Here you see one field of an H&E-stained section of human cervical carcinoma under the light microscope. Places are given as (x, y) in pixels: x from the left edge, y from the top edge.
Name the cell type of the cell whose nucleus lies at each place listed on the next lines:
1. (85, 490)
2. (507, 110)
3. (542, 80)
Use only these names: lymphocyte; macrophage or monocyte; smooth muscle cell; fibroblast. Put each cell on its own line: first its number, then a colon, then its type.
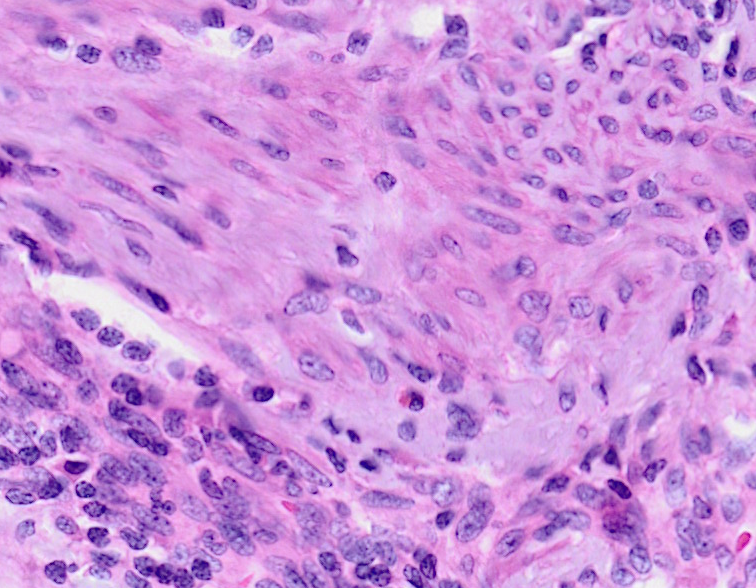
1: lymphocyte
2: smooth muscle cell
3: smooth muscle cell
